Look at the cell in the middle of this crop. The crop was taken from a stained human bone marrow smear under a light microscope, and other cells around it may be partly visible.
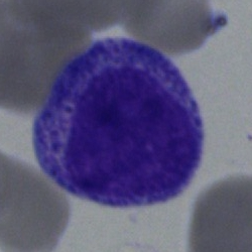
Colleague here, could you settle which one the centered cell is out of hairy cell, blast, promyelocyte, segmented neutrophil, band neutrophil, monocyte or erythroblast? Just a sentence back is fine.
The cell in the middle of the field of view is a promyelocyte.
